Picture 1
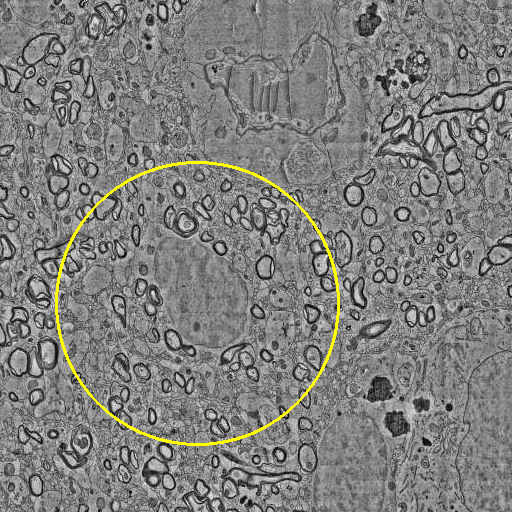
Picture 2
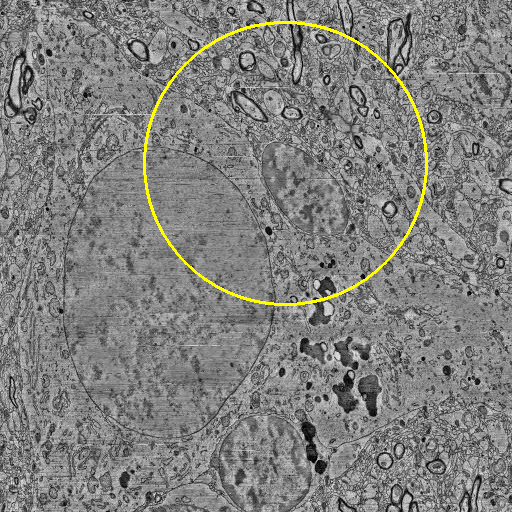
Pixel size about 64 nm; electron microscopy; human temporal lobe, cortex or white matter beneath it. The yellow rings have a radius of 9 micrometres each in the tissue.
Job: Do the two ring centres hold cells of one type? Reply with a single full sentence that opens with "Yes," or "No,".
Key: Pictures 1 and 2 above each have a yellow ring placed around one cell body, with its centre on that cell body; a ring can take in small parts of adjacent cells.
No, the cells at the two ring centres are of two separate types.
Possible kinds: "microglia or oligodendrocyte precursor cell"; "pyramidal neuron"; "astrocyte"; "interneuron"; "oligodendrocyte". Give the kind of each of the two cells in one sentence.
The cell in the second picture is a microglial cell or oligodendrocyte precursor cell, and that in the first is an oligodendrocyte.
